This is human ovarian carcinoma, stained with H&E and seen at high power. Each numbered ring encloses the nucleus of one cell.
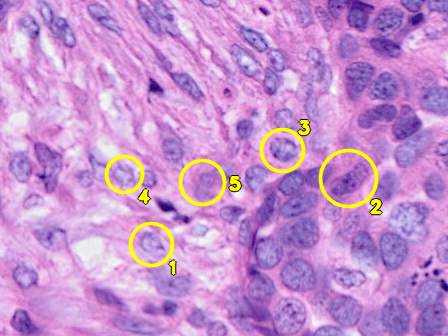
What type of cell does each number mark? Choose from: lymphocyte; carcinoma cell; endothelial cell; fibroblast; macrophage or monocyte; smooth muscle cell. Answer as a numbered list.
1. fibroblast
2. carcinoma cell
3. macrophage or monocyte
4. fibroblast
5. fibroblast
